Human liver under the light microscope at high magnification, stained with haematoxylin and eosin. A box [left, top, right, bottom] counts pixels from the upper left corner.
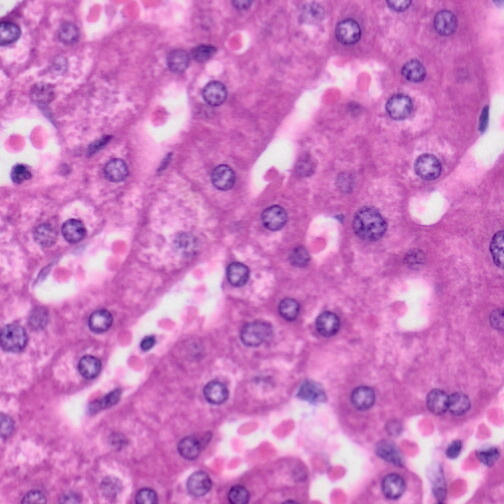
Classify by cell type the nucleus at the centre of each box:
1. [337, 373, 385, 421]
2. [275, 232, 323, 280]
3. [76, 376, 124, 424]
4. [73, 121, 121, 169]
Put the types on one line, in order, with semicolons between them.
hepatocyte; hepatocyte; Kupffer cell; fibroblast or stellate cell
